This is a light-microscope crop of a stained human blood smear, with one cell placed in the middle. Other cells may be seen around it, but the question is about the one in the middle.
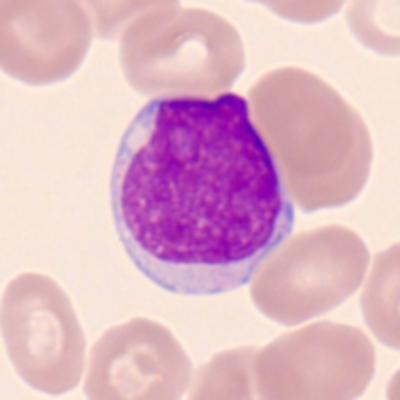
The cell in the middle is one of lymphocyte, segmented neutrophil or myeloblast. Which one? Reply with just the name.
lymphocyte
